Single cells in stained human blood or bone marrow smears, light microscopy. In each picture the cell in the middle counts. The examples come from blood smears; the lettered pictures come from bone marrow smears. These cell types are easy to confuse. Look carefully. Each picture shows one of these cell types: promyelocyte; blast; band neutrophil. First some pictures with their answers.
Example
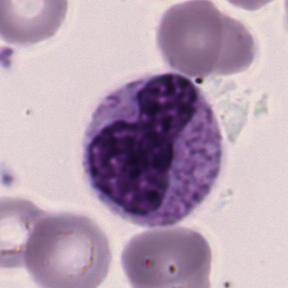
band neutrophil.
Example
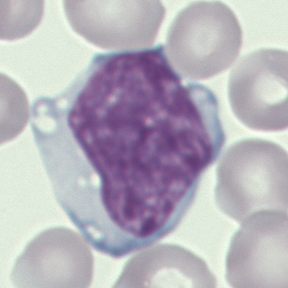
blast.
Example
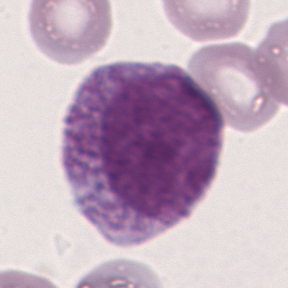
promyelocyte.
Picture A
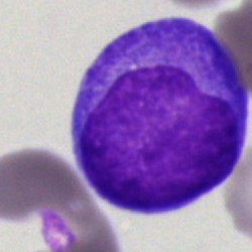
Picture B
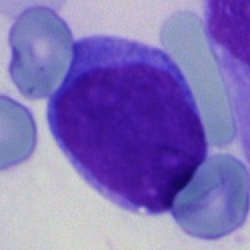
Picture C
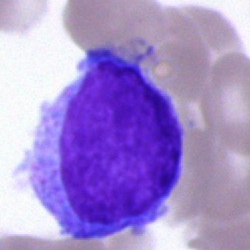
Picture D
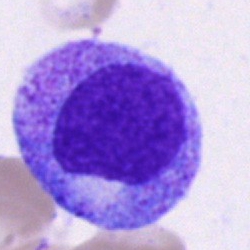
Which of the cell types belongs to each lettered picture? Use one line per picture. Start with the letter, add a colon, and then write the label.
A: blast.
B: blast.
C: blast.
D: promyelocyte.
